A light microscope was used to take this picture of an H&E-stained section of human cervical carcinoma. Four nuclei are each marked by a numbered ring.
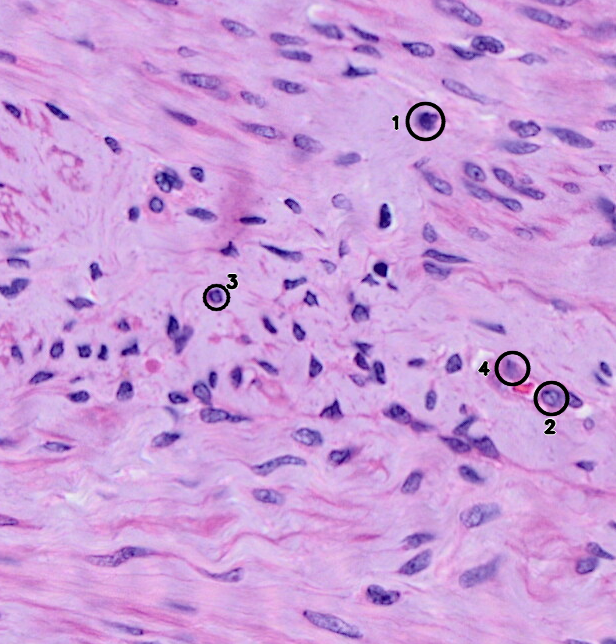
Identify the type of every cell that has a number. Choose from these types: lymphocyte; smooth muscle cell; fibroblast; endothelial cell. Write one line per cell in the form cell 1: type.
cell 1: lymphocyte
cell 2: endothelial cell
cell 3: smooth muscle cell
cell 4: endothelial cell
